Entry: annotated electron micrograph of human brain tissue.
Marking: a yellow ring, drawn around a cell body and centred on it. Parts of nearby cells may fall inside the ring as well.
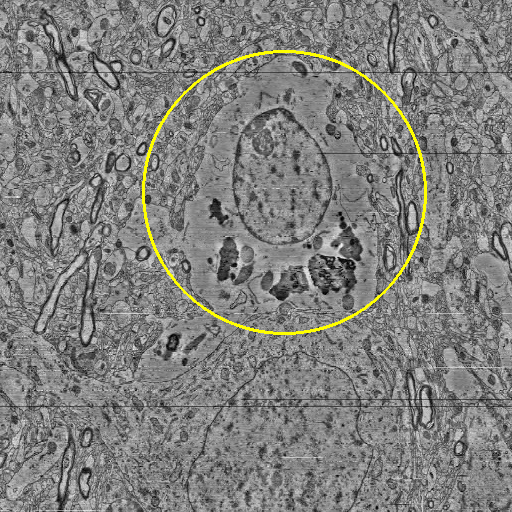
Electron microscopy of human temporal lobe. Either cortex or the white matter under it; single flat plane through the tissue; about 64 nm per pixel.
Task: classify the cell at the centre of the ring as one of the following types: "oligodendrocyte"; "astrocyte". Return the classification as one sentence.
The marked cell is classified as an astrocyte.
